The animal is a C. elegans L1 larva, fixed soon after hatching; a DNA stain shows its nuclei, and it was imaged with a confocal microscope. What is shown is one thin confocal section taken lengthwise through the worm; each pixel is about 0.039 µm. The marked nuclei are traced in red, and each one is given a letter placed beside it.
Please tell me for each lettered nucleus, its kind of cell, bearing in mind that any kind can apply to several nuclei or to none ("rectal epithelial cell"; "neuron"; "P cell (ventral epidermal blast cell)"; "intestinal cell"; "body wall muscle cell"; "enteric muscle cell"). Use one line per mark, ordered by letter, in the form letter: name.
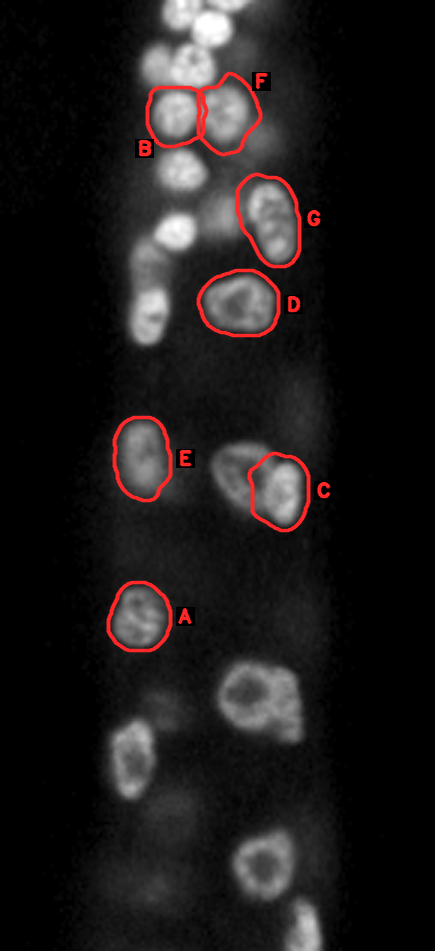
A: P cell (ventral epidermal blast cell)
B: neuron
C: intestinal cell
D: intestinal cell
E: body wall muscle cell
F: rectal epithelial cell
G: body wall muscle cell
